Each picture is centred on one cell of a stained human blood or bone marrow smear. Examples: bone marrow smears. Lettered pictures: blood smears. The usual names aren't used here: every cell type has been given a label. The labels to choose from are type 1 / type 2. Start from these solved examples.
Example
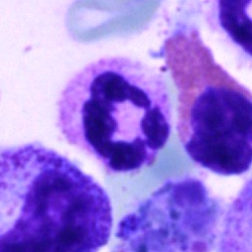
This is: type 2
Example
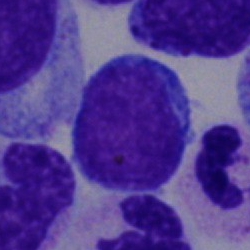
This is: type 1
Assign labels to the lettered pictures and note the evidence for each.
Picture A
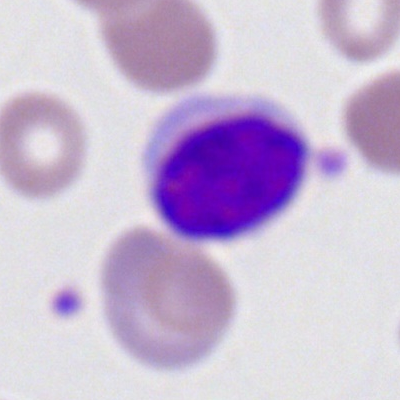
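Label: type 1. The nucleus fills most of the cell, leaving only scant cytoplasm.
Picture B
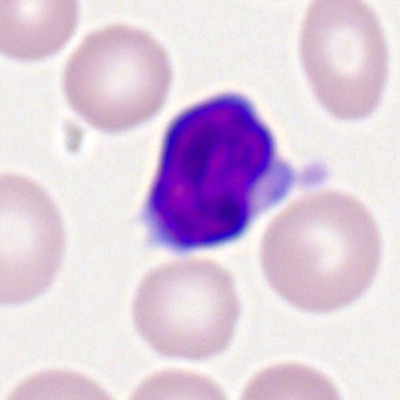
Label: type 1. The nucleus fills most of the cell.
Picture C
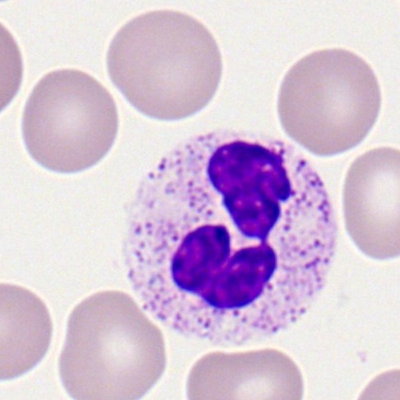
Label: type 2. The nucleus is divided into three lobes.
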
